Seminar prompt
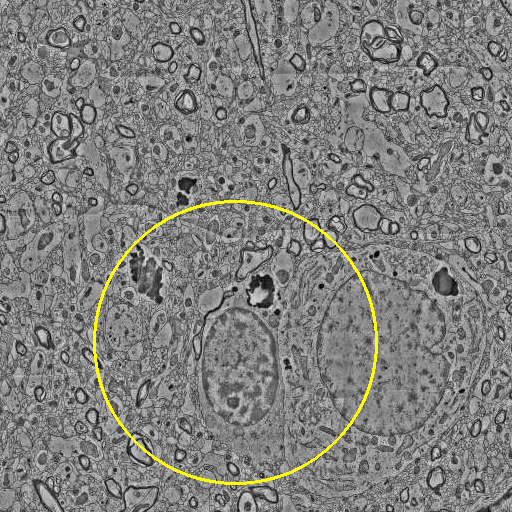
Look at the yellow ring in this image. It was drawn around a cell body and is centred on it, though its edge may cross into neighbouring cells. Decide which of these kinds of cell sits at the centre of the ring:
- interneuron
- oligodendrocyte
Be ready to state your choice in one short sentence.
The kind of cell at the ring's centre is an oligodendrocyte.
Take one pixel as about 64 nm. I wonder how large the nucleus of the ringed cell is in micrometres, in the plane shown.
Roughly 8 by 5 micrometres in this plane, for the nucleus of the ringed cell.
